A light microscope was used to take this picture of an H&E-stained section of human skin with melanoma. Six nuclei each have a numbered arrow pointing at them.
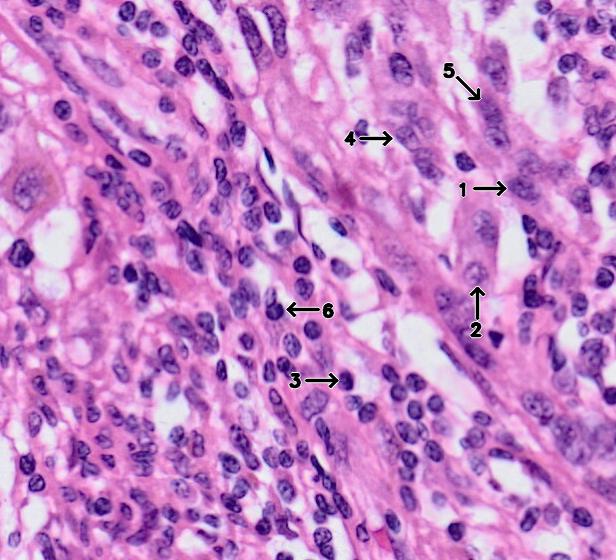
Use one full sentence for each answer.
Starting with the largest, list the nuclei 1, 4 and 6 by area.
Going from the biggest nucleus down to the smallest gives 1, 4, 6.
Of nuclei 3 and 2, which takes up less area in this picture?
With nucleus 2 about 1.5 times its size, nucleus 3 is the smaller of the two.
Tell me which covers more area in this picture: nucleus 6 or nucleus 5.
Nucleus 5 covers more area, about 1.5 times as much as nucleus 6.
